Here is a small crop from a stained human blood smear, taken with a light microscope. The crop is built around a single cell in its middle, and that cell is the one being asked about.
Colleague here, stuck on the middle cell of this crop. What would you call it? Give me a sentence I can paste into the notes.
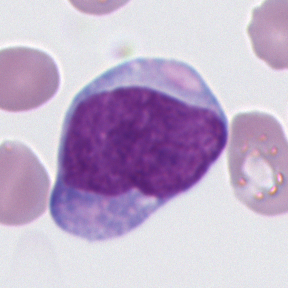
The cell centred in this crop is categorized as an atypical promyelocyte.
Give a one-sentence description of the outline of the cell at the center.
The membrane contour is even and smooth, with nothing projecting from it.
